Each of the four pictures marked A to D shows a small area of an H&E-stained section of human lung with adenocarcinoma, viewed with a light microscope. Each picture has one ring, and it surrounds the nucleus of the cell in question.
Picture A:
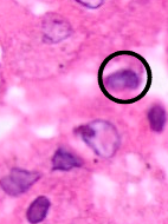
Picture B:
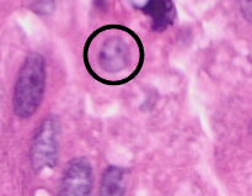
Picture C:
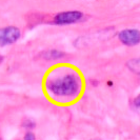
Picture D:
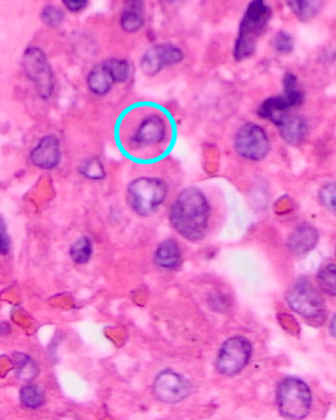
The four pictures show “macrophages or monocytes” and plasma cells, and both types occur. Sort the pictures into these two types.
A: macrophage or monocyte
B: macrophage or monocyte
C: plasma cell
D: macrophage or monocyte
